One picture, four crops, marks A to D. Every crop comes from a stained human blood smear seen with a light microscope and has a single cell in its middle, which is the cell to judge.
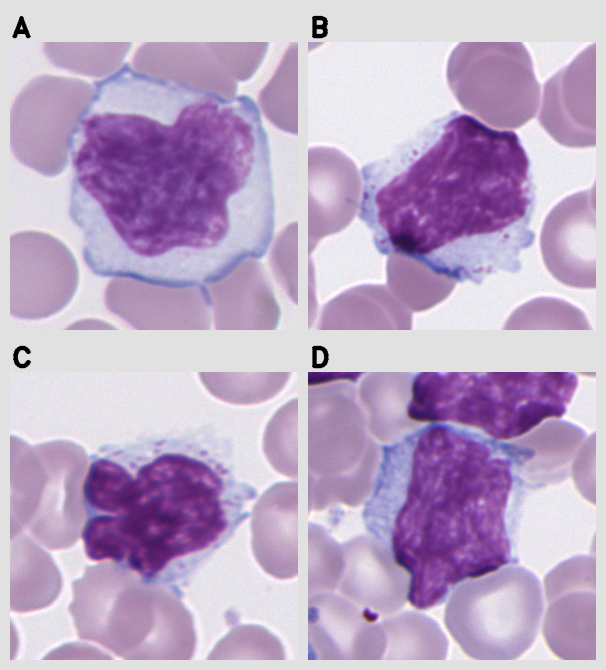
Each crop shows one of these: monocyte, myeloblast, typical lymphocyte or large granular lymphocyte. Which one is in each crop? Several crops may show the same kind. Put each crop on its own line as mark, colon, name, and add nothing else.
A: myeloblast
B: large granular lymphocyte
C: large granular lymphocyte
D: typical lymphocyte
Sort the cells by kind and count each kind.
large granular lymphocyte: 2
myeloblast: 1
typical lymphocyte: 1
